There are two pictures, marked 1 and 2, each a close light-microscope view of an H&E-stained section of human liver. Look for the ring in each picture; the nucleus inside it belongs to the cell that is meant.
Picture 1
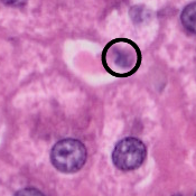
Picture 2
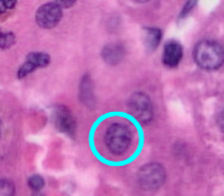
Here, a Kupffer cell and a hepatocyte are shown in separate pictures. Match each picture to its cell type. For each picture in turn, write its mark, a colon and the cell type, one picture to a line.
1: Kupffer cell
2: hepatocyte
